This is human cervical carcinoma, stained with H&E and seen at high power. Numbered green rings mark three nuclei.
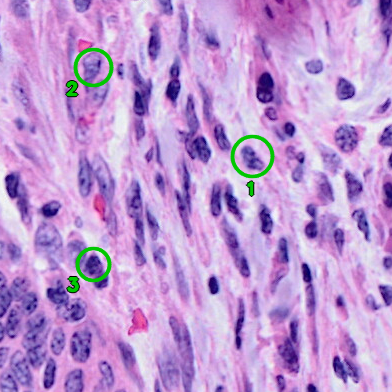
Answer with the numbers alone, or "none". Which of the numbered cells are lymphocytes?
1, 3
